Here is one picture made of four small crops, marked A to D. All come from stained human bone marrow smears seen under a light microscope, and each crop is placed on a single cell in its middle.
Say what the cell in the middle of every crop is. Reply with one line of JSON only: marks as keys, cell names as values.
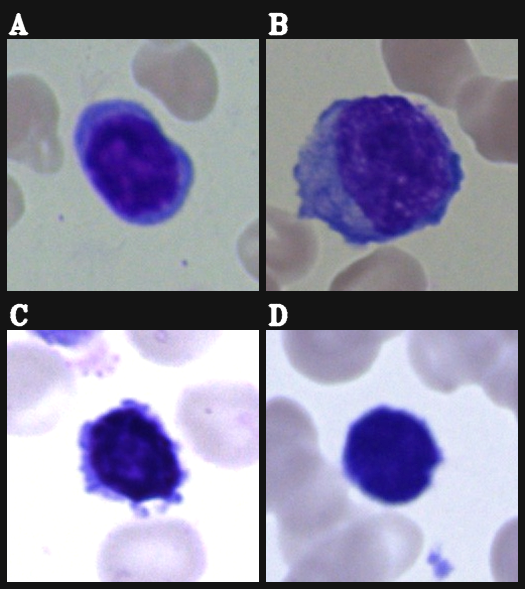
{"A": "lymphocyte", "B": "promyelocyte", "C": "lymphocyte", "D": "lymphocyte"}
